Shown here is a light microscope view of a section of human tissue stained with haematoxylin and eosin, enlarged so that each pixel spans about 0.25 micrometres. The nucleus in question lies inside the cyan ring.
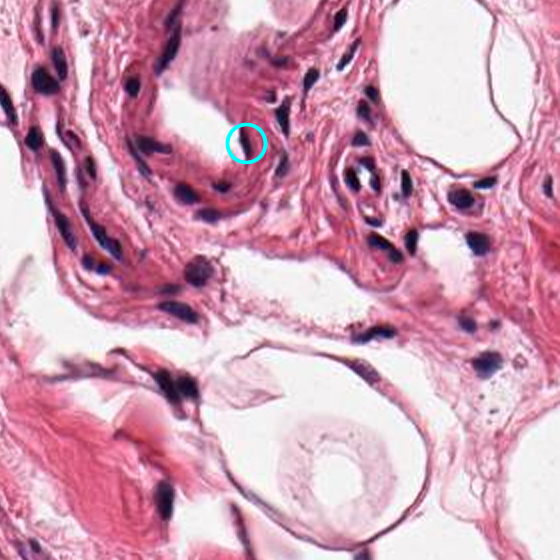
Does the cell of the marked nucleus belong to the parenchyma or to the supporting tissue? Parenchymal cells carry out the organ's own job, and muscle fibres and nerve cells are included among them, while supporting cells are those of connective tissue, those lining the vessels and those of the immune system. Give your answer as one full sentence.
Located within a supporting cell is the nucleus that has been marked.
